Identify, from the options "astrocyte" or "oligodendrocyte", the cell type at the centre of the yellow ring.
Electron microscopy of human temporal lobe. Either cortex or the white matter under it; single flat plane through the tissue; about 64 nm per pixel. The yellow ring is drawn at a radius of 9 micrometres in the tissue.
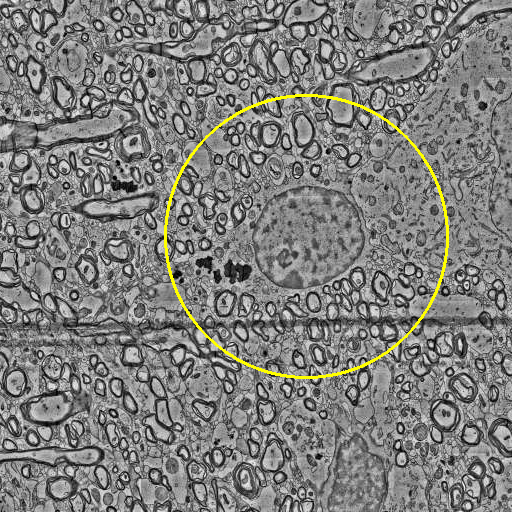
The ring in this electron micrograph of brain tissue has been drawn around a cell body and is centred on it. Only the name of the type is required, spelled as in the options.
oligodendrocyte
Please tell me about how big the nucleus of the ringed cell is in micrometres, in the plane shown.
The nucleus works out at approximately 7 by 6 micrometres in this plane.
